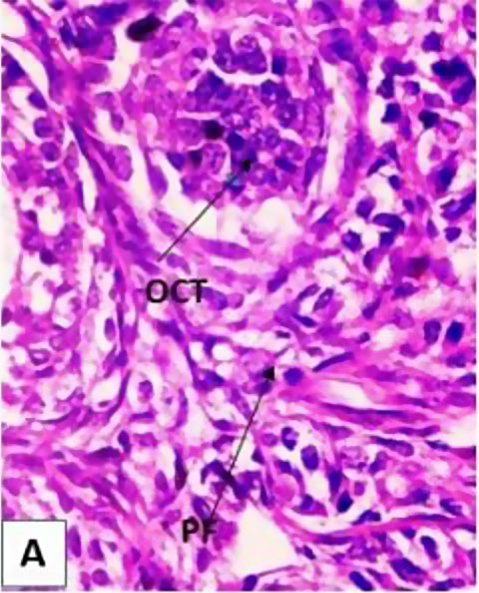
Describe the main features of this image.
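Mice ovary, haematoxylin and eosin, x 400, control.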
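Near the top a rounded follicle holds a compact cluster of cells with purple nuclei, surrounded by concentric layers of flattened cells. The surrounding stroma consists of many elongated, spindle-shaped cells with dark oval nuclei lying in pink, fibrous material. Smaller rounded groups of cells with pale cytoplasm and round nuclei are scattered through the stroma.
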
